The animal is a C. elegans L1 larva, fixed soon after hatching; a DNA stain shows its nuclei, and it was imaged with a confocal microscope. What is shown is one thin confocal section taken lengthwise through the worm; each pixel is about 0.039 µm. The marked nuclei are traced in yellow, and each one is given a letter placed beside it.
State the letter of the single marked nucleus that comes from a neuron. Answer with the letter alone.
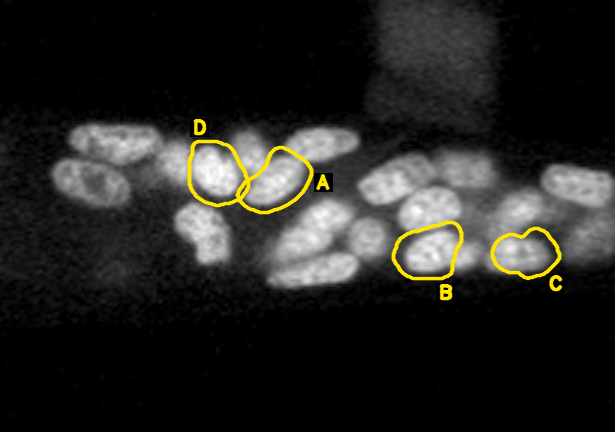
D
